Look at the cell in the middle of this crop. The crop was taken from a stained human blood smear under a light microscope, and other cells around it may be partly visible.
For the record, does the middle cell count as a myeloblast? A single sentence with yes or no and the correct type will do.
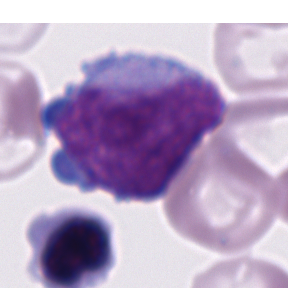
Yes, a myeloblast is what the central cell is.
